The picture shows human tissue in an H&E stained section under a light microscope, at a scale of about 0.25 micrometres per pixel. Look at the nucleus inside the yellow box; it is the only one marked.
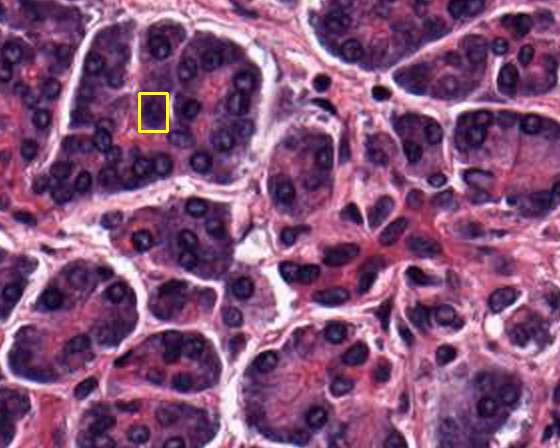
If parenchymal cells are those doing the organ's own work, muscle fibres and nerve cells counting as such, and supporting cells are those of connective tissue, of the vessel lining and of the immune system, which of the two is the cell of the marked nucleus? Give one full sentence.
The marked nucleus is attributed to a parenchymal cell, namely a pancreatic acinar cell.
